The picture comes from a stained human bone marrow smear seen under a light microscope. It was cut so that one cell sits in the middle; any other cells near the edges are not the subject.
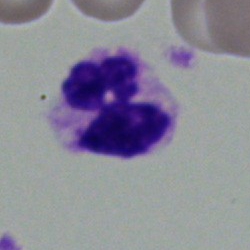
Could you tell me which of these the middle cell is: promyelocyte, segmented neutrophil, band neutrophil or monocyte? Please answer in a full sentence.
Here the centrally located cell is a segmented neutrophil.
